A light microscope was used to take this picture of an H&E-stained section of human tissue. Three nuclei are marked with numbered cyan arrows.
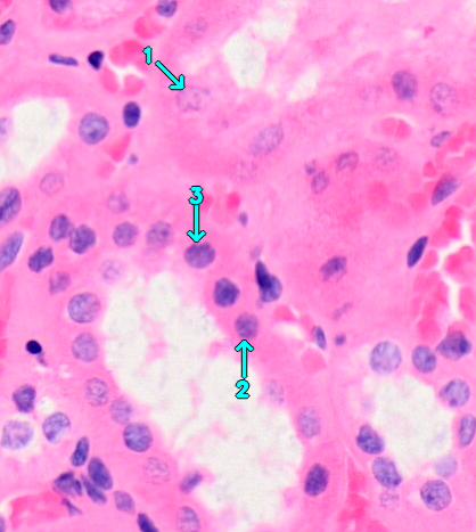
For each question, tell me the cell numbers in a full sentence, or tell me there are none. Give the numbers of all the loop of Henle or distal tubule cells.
When it comes to cells 2 and 3, they are loop of Henle or distal tubule cells.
